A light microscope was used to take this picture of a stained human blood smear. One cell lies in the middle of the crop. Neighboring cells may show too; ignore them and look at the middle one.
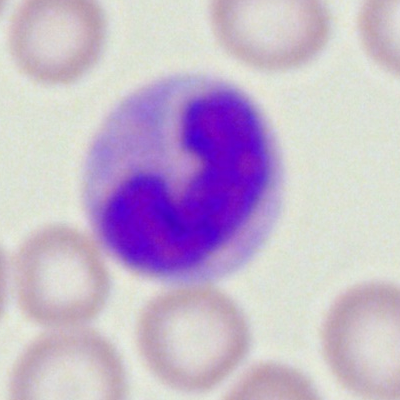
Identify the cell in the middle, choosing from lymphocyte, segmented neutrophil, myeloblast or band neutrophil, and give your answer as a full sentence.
Present in the middle of the crop is a band neutrophil.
